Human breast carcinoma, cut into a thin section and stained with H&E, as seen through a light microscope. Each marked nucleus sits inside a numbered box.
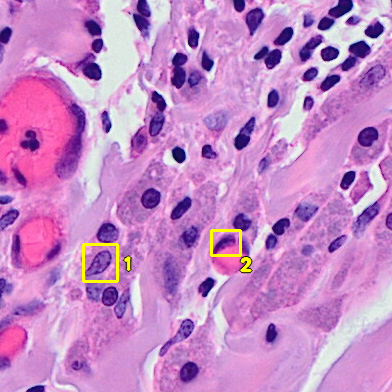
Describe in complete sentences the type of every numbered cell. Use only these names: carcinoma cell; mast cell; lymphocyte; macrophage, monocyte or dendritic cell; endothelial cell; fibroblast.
Cell 1 is a macrophage, monocyte or dendritic cell and cell 2 is an endothelial cell.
